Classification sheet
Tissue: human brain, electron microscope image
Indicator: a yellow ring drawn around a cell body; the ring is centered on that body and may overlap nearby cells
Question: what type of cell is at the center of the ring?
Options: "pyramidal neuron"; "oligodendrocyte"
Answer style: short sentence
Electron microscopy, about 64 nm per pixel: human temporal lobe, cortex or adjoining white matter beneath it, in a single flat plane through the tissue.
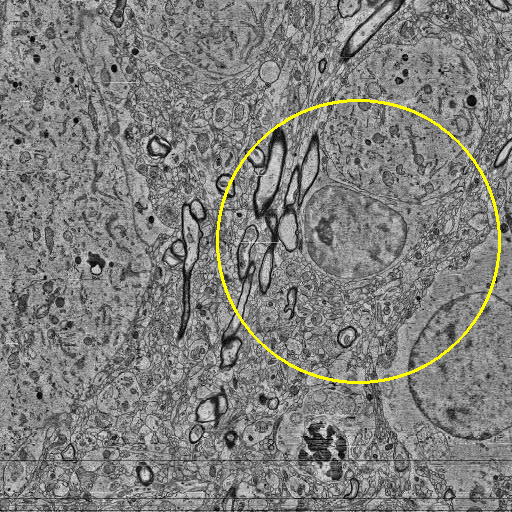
At the ring's center is an oligodendrocyte.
